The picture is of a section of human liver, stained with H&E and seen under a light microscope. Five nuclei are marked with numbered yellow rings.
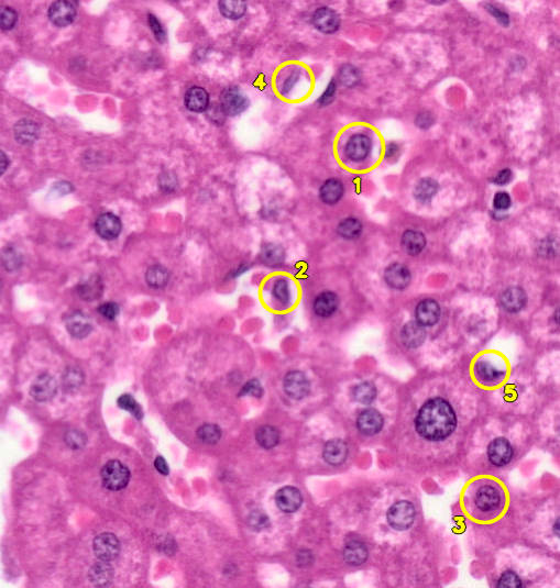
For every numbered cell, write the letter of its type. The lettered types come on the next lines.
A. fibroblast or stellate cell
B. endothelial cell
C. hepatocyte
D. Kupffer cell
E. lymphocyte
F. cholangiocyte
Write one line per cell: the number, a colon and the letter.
1: C
2: D
3: C
4: D
5: B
